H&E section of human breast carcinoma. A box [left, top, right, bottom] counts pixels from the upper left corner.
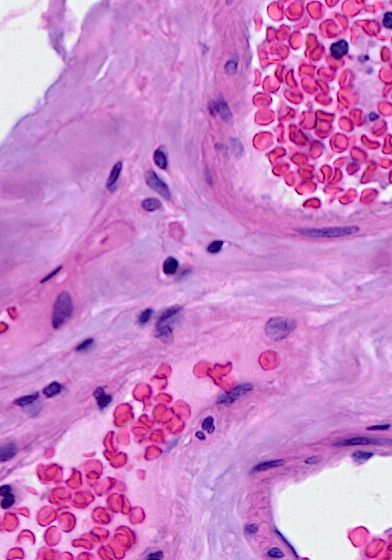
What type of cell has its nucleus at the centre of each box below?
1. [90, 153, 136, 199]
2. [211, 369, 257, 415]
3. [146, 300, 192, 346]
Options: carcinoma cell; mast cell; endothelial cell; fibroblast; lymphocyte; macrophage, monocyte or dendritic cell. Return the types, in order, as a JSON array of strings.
["fibroblast", "endothelial cell", "fibroblast"]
